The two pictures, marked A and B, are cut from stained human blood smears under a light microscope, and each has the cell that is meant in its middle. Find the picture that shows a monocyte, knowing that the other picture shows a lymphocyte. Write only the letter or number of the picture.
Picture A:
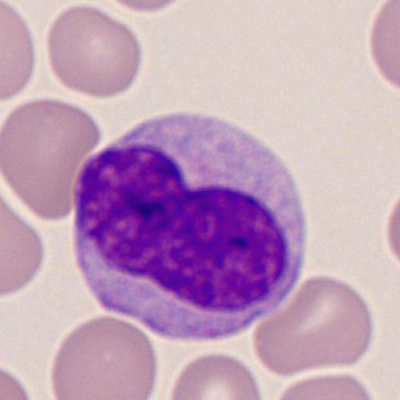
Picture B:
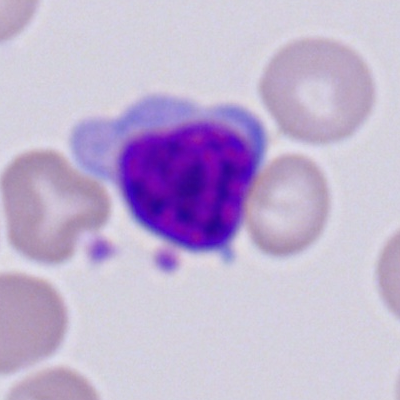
A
